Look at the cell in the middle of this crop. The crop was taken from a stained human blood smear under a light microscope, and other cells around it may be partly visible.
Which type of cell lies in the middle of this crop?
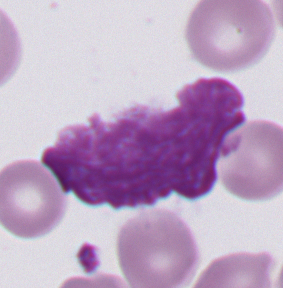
smudge cell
